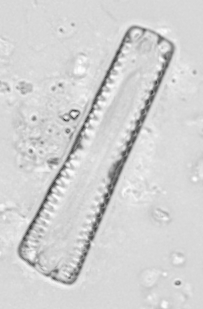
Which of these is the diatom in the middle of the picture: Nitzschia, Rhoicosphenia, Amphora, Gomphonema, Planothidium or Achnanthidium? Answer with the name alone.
Gomphonema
